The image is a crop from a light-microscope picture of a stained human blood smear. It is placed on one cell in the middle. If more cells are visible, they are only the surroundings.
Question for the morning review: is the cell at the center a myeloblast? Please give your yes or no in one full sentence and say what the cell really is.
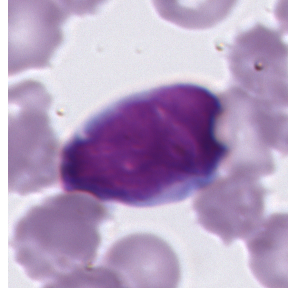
Yes, the cell occupying the center is a myeloblast.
